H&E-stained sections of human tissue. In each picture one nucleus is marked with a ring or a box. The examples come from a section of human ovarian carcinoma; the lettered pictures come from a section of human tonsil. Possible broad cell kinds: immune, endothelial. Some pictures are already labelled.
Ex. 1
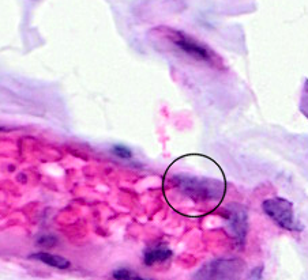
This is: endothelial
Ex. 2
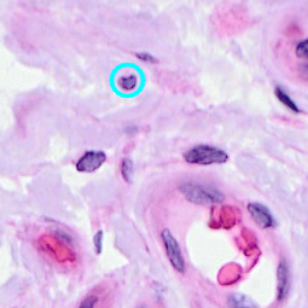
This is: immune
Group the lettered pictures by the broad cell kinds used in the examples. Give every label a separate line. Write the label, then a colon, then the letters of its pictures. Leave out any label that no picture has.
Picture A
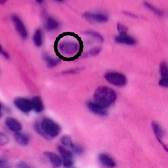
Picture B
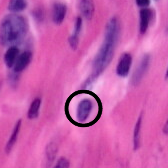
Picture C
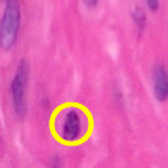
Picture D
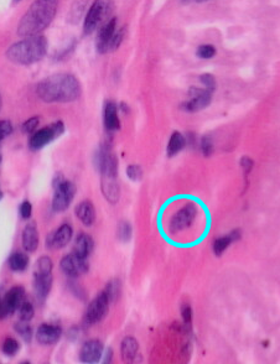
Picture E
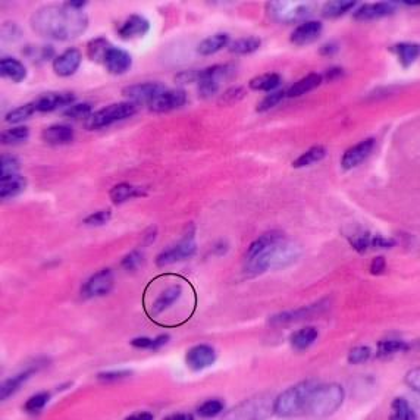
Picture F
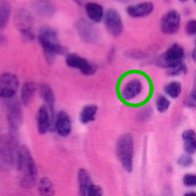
immune: B, C, D, E, F
endothelial: A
